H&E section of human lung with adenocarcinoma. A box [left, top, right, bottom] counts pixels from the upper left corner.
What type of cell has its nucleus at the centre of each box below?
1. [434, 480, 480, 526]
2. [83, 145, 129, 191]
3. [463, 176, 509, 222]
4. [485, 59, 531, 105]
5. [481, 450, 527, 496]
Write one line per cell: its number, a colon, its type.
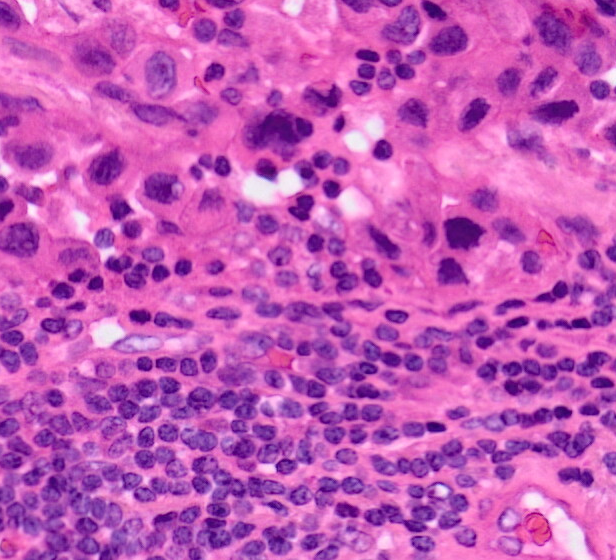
1: lymphocyte
2: carcinoma cell
3: carcinoma cell
4: carcinoma cell
5: lymphocyte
